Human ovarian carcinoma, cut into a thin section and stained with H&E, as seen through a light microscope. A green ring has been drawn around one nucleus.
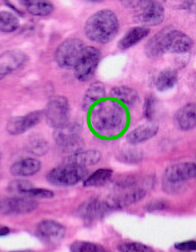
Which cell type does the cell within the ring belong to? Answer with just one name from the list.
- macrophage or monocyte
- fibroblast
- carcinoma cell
carcinoma cell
